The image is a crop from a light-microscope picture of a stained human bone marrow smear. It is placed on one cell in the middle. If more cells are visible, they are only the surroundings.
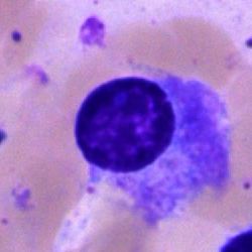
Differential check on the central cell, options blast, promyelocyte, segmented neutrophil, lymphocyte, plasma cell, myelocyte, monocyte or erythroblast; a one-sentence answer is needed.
By type, the central cell of the crop is a plasma cell.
